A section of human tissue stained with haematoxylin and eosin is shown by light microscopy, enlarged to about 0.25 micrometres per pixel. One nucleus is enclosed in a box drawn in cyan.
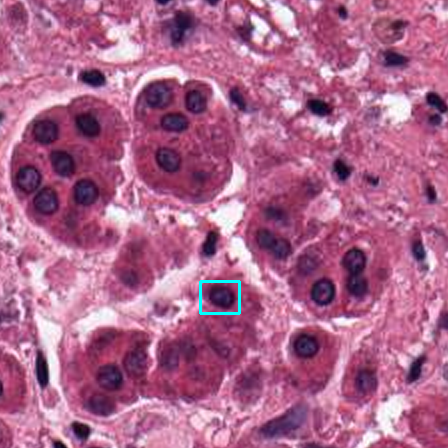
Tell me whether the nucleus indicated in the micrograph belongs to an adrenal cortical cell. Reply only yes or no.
yes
